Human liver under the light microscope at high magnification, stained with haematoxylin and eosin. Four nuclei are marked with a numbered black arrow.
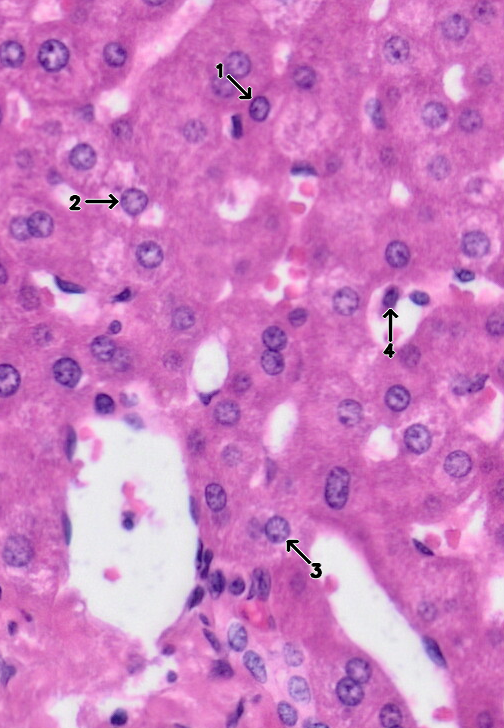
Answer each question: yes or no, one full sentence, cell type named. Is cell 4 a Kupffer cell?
Yes, the cell numbered 4 in this tissue is a Kupffer cell.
